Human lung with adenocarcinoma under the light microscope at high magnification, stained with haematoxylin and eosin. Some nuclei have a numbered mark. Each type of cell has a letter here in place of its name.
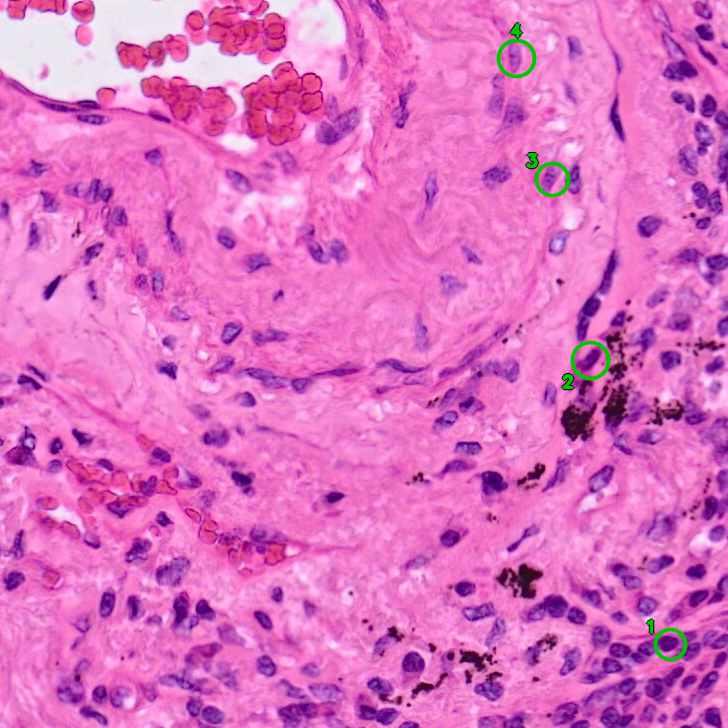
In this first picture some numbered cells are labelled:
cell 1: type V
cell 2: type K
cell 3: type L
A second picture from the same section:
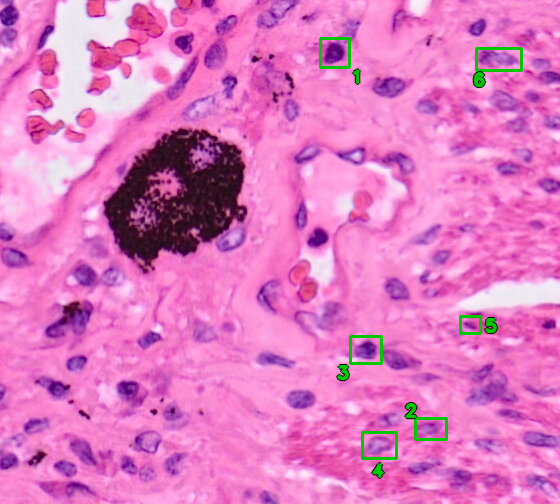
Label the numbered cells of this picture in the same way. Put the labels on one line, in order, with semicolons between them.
type K; type L; type V; type L; type L; type L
